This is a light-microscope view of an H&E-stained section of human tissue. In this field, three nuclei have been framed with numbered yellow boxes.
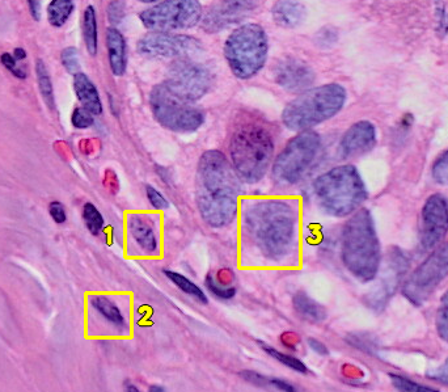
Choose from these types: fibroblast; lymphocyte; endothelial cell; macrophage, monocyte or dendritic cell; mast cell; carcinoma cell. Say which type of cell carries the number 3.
carcinoma cell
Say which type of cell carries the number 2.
fibroblast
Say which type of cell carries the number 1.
mast cell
